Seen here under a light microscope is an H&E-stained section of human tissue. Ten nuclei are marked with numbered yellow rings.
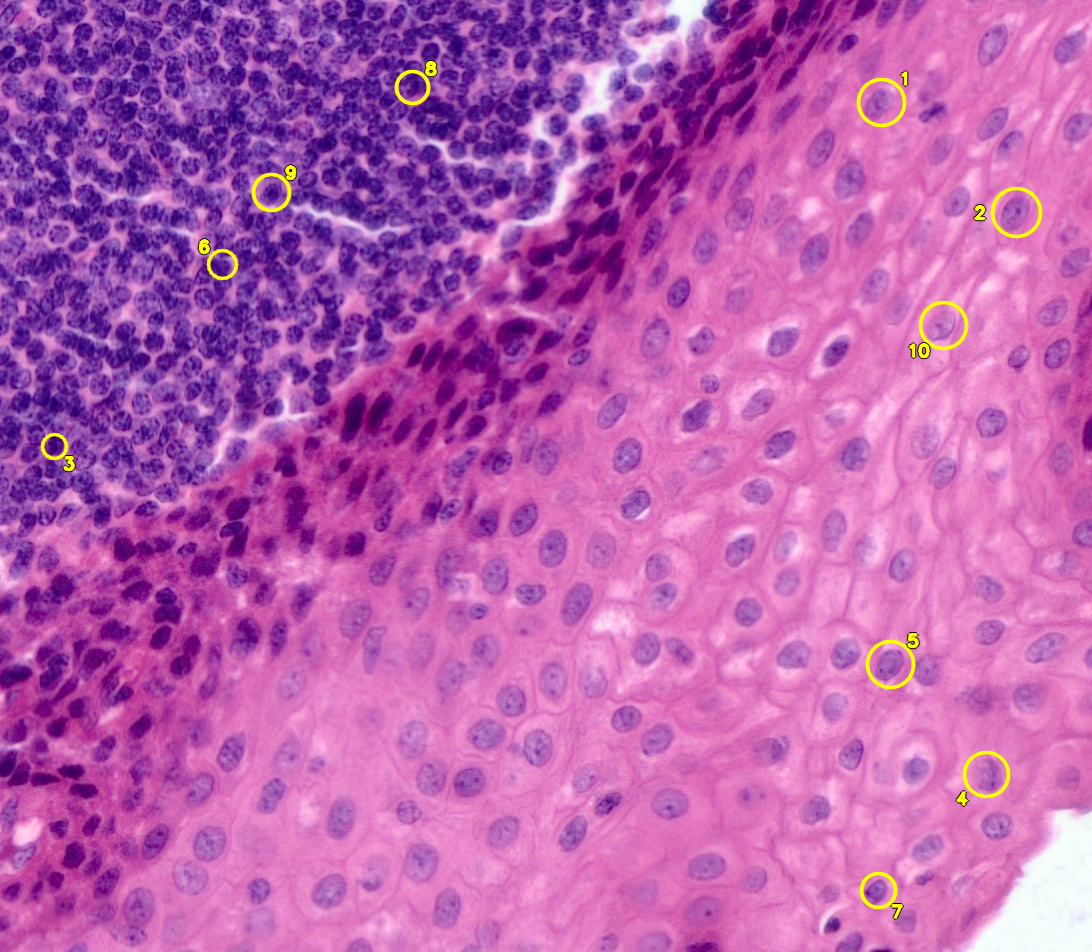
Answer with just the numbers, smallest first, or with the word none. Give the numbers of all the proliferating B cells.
none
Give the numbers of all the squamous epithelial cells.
1, 2, 4, 5, 7, 10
